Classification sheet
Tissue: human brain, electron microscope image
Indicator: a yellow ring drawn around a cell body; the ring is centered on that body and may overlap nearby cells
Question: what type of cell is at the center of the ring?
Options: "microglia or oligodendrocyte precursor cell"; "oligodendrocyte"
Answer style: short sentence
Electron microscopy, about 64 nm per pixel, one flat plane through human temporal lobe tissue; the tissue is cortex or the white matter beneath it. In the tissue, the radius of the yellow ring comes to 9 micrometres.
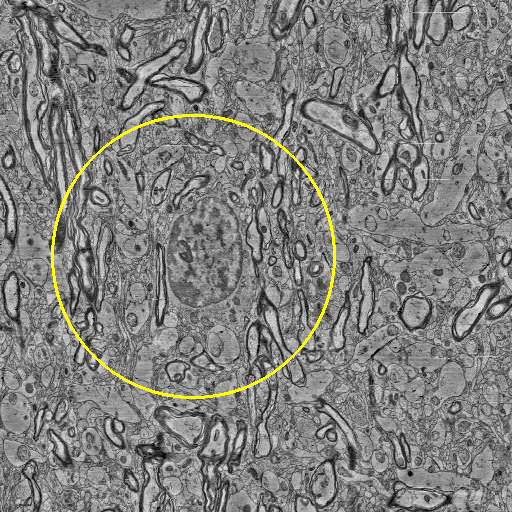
At the ring's center is an oligodendrocyte.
